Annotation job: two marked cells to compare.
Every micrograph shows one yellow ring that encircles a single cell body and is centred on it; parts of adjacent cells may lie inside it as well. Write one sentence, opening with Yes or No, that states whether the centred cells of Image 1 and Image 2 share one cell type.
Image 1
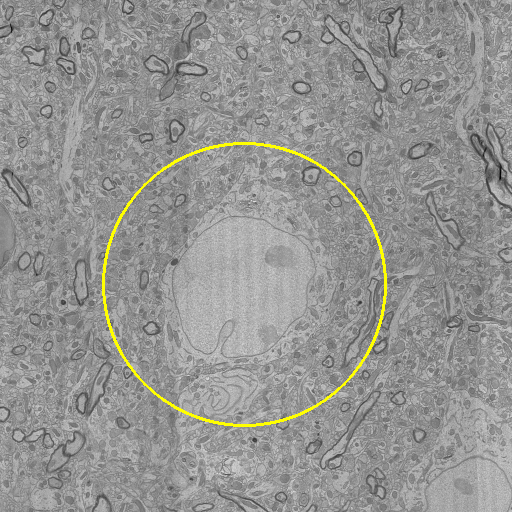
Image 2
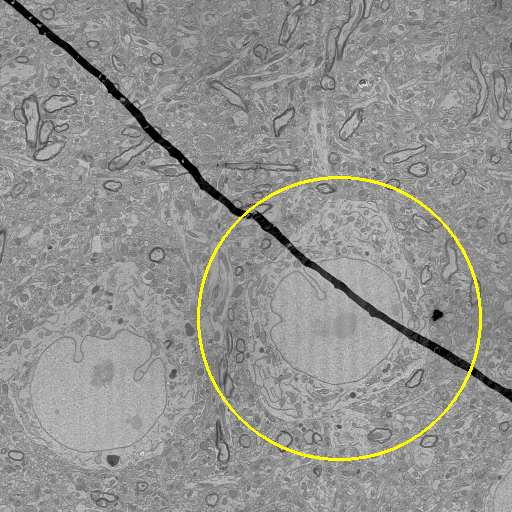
No, the cell centred in Image 1 and the cell centred in Image 2 are of two types.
